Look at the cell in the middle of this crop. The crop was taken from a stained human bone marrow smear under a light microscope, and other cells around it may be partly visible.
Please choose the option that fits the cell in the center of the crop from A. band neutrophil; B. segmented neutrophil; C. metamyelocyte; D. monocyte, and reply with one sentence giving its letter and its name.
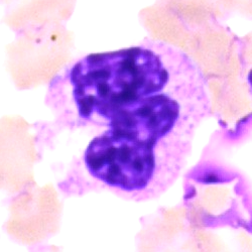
The cell in the middle is a segmented neutrophil, and so option B is correct.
